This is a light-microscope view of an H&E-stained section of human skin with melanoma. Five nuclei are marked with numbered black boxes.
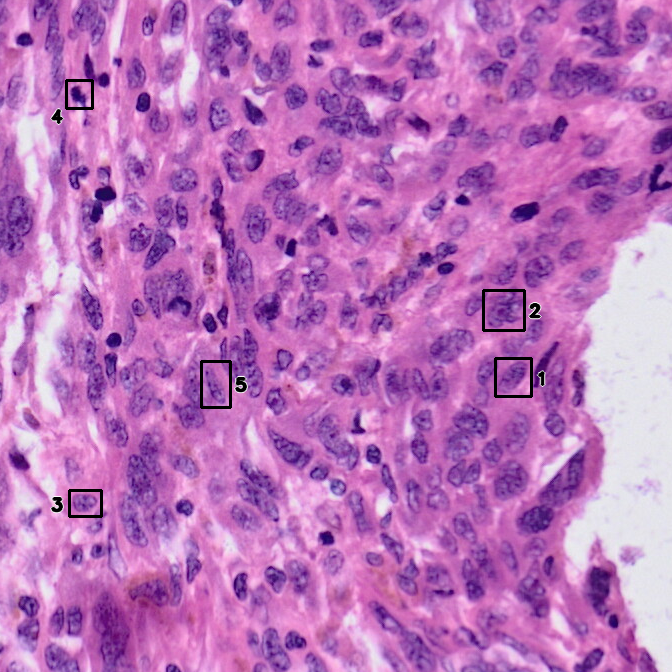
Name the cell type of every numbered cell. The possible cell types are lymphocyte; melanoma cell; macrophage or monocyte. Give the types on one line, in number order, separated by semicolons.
melanoma cell; melanoma cell; macrophage or monocyte; lymphocyte; melanoma cell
